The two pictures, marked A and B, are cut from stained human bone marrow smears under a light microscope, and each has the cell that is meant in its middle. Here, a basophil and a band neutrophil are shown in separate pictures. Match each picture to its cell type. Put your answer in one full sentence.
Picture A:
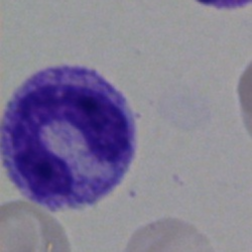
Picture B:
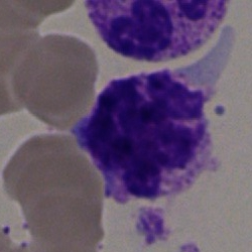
It is picture A that shows a band neutrophil, and picture B that shows a basophil.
